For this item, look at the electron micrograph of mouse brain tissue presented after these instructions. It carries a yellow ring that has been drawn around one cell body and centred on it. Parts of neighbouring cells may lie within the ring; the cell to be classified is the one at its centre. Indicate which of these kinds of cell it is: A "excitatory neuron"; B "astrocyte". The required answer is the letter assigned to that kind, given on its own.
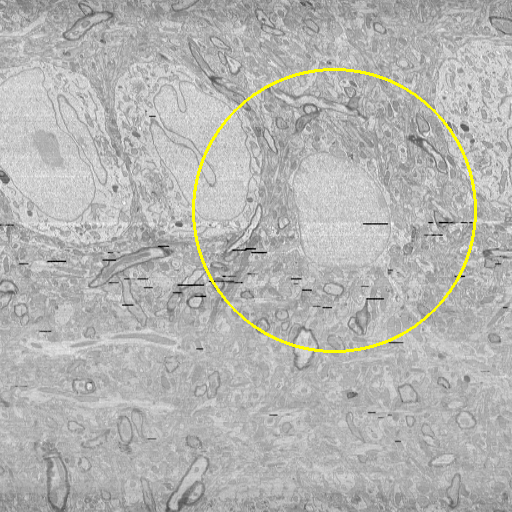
B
